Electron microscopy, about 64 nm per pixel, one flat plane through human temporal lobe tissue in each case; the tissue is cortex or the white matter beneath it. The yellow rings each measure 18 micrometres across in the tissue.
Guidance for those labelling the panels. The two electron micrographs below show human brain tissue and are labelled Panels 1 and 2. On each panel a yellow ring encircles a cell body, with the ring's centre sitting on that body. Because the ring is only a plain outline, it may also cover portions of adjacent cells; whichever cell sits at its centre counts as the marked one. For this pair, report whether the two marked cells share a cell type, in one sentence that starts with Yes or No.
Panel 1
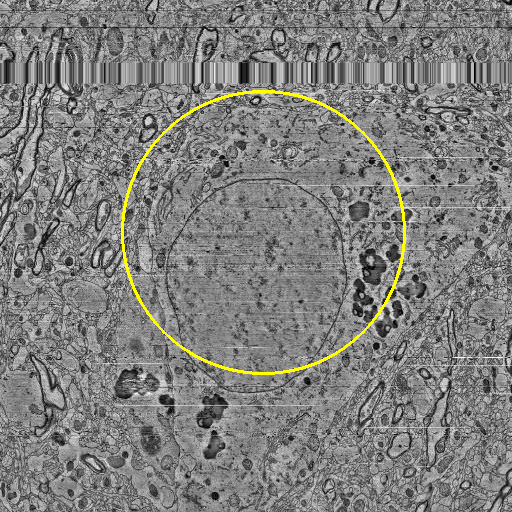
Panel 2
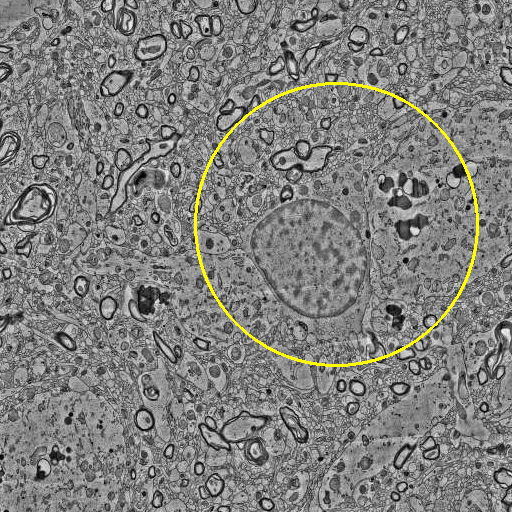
No, in Panel 1 and Panel 2 the marked cells at the ring centres are of two types.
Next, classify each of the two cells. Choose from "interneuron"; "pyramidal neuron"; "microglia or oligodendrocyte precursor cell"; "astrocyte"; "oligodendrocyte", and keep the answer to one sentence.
In the first picture it is a pyramidal neuron; in the second it is an oligodendrocyte.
